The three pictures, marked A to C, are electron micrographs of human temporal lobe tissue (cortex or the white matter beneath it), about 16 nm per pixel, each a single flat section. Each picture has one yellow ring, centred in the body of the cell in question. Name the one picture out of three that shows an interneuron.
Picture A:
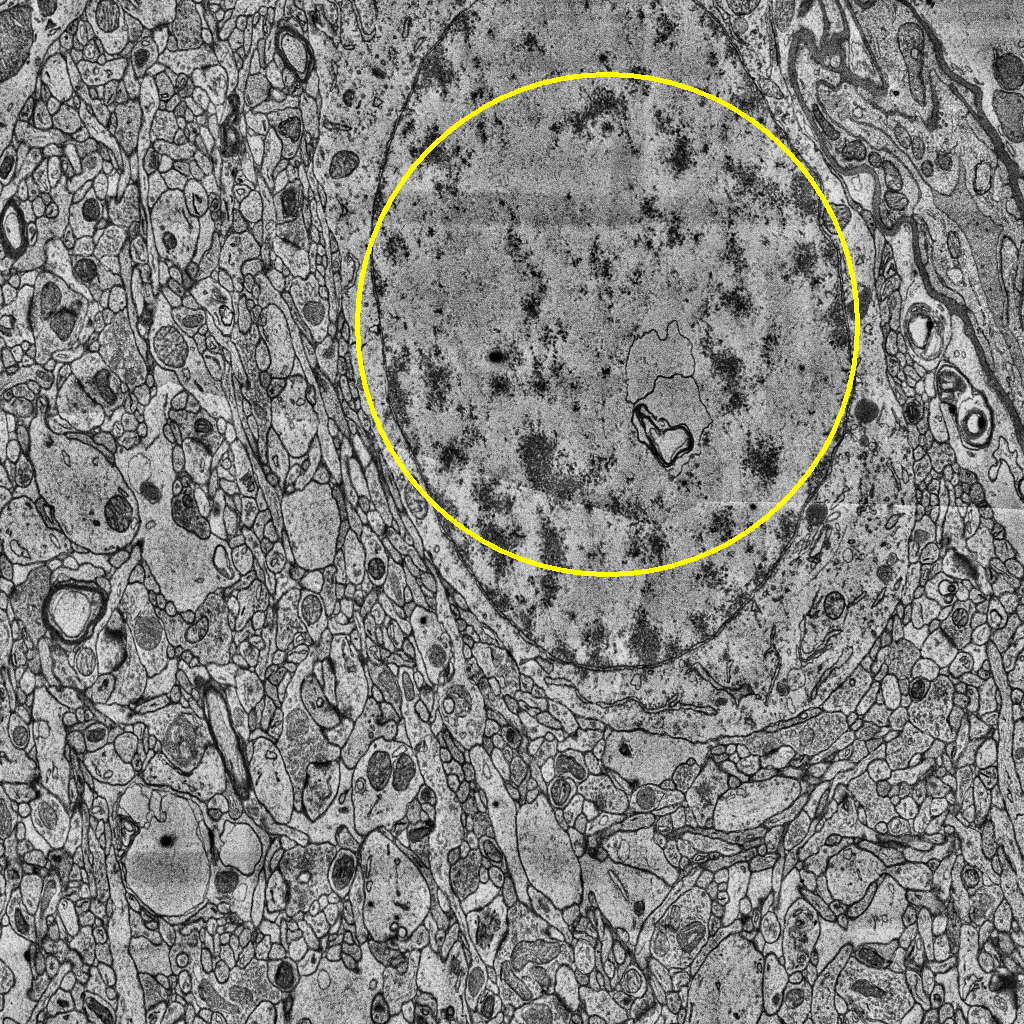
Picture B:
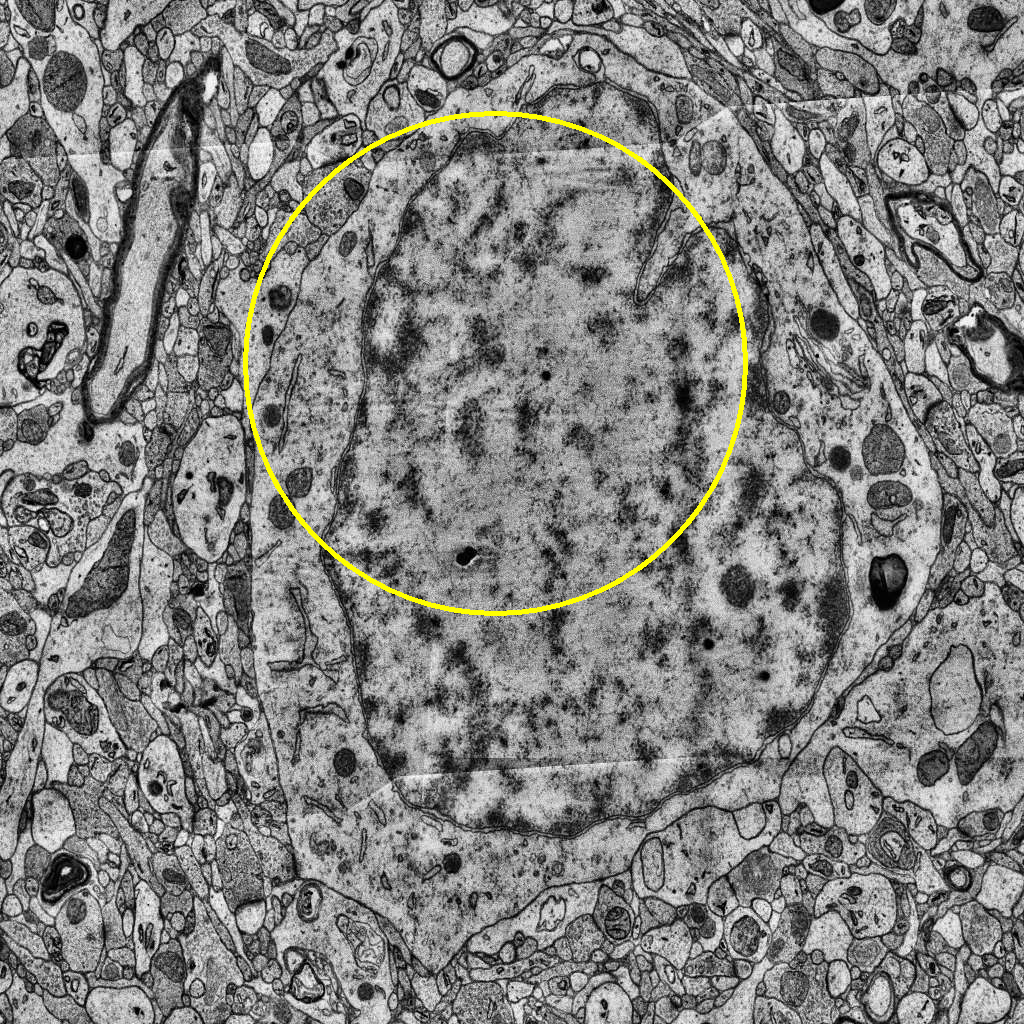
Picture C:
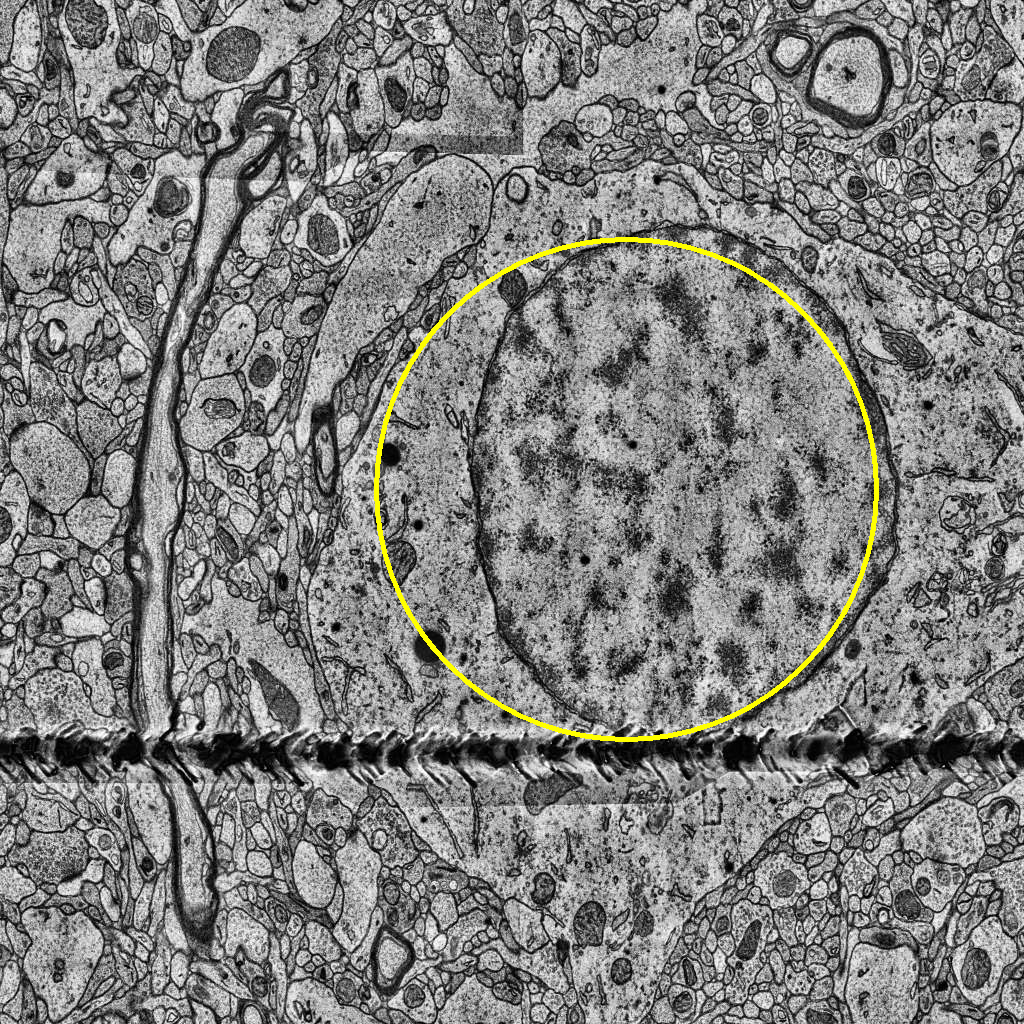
The interneuron is the one in picture B.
